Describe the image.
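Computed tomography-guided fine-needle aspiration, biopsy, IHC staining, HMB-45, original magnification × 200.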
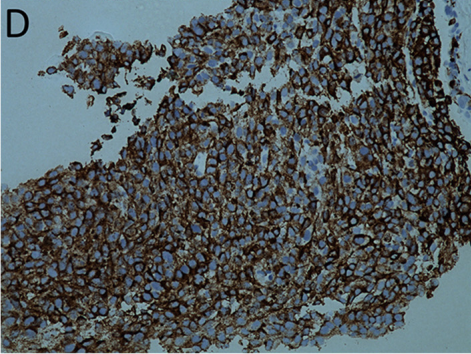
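Here a dense sheet of tumor cells fills most of the field, and nearly every cell shows brown staining in its cytoplasm. The brown colour forms a network around the cells, outlining each one, while most nuclei remain pale blue in the middle. The nuclei are round to oval and fairly crowded, with little space between cells. Only a few cells show brown over the nucleus as well. At the upper left edge the tissue breaks up into small detached fragments of the same stained cells.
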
